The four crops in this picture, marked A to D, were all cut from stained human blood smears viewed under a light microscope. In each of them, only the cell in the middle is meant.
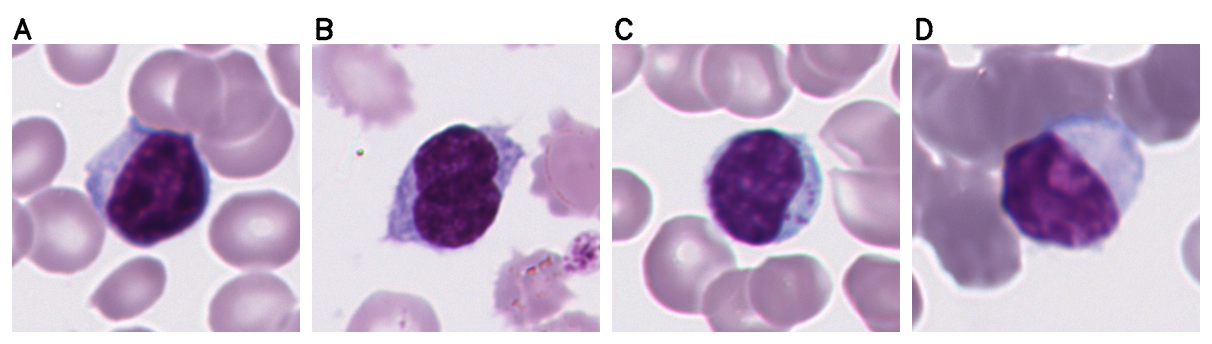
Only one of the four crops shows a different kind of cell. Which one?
B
